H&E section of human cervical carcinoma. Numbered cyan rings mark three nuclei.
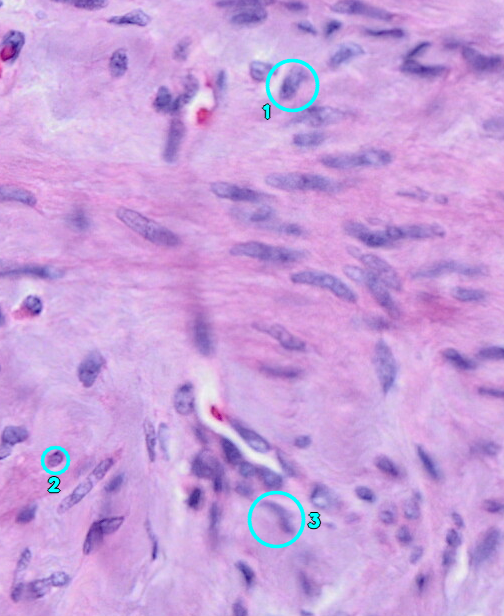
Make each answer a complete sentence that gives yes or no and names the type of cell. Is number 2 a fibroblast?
No, as for cell 2, it is a smooth muscle cell and not a fibroblast.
